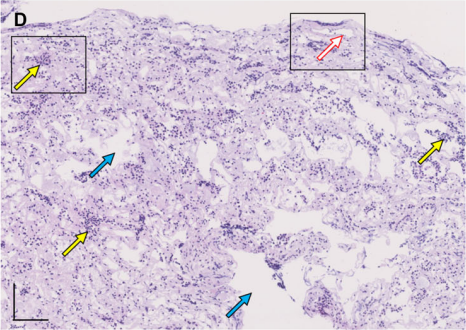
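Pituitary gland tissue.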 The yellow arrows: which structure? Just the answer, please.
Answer: Nests.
